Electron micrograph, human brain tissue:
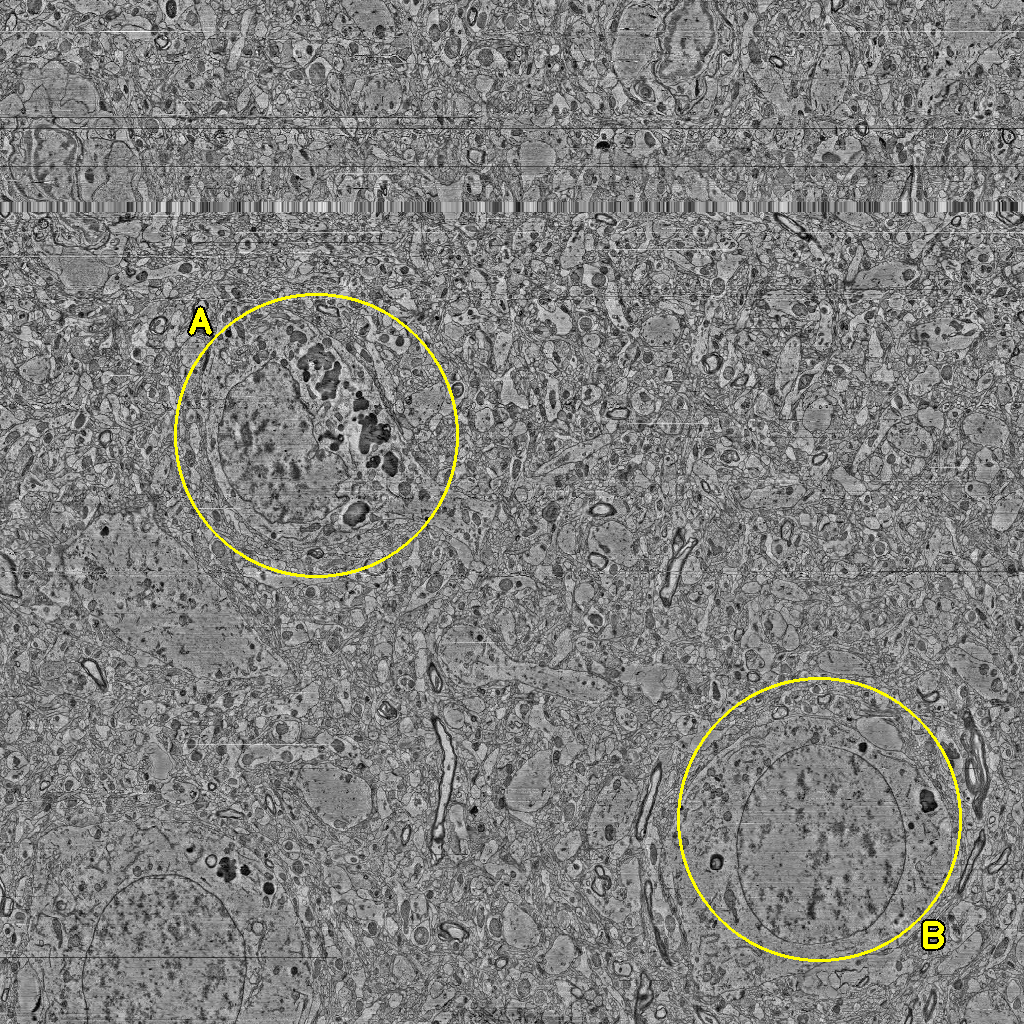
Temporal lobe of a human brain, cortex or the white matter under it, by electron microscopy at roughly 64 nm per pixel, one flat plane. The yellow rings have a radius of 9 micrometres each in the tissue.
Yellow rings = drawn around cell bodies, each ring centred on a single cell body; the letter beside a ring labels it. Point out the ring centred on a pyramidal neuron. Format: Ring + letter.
Ring B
